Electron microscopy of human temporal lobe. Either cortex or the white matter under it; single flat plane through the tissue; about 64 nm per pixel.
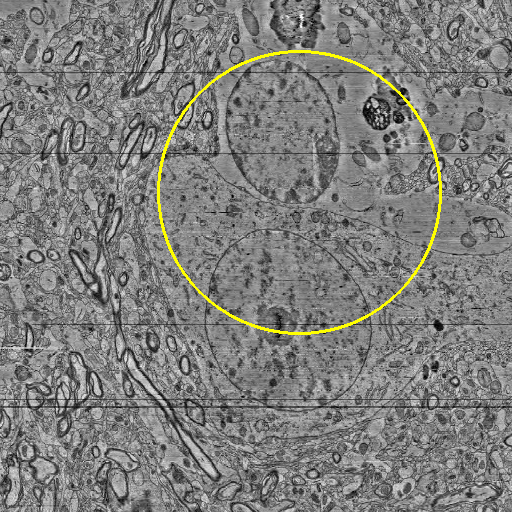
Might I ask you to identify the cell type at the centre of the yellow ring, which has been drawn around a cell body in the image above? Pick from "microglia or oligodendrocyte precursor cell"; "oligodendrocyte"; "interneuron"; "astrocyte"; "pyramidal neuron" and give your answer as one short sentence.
The centre of the ring falls on an astrocyte.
